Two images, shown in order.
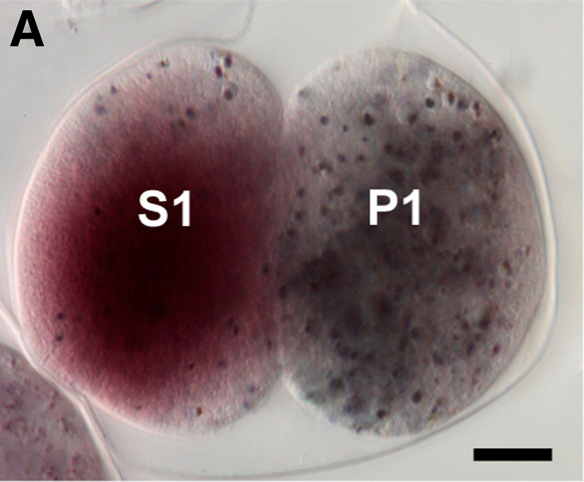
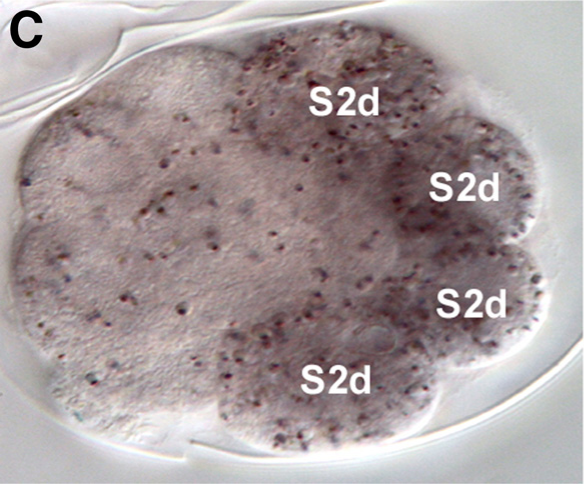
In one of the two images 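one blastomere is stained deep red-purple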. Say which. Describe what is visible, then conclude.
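The first image. First image: the left blastomere is filled with an intense red-purple stain.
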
